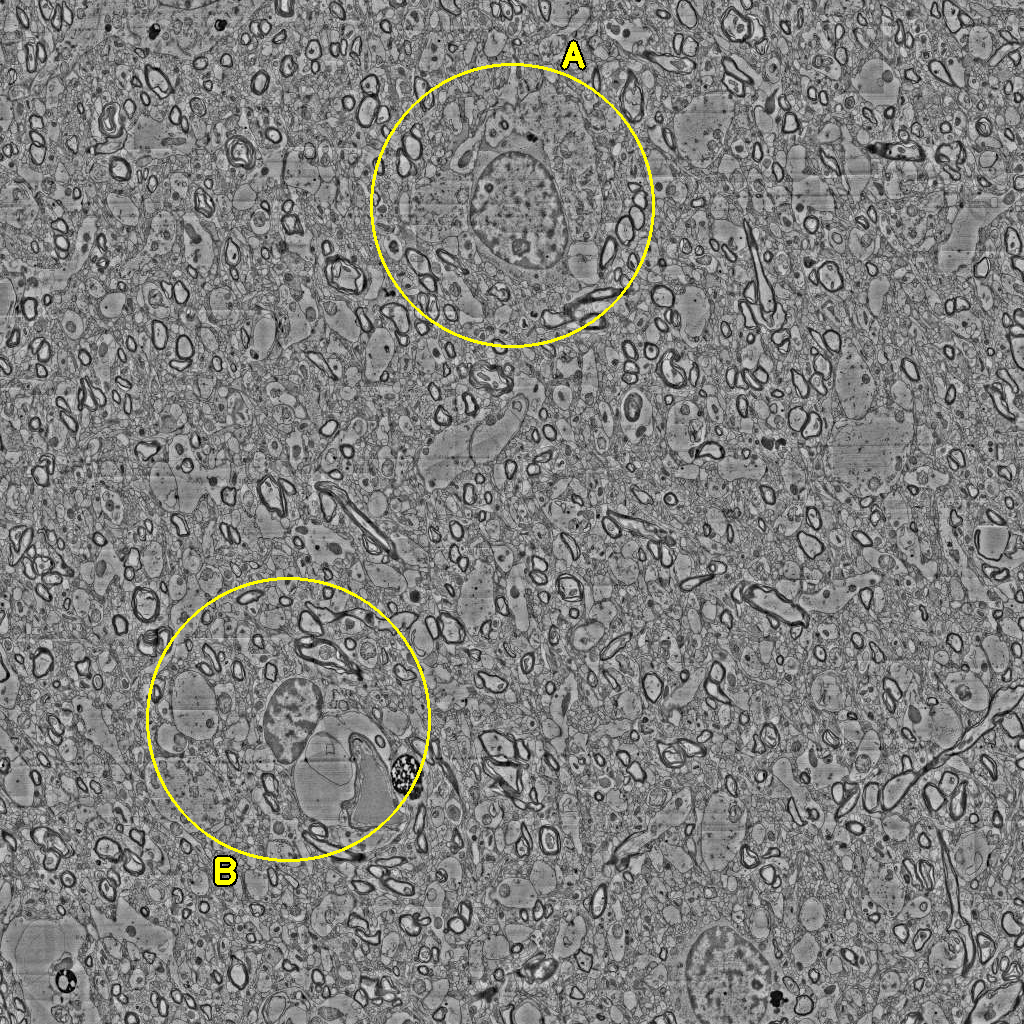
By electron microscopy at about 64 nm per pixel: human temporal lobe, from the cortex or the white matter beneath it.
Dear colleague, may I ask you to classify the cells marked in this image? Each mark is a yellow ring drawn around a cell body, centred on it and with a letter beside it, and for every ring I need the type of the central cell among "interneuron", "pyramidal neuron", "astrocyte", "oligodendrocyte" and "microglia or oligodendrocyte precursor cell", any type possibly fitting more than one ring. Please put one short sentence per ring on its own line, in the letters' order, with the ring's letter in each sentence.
Ring A contains an oligodendrocyte at its centre.
Ring B contains a microglial cell or oligodendrocyte precursor cell at its centre.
